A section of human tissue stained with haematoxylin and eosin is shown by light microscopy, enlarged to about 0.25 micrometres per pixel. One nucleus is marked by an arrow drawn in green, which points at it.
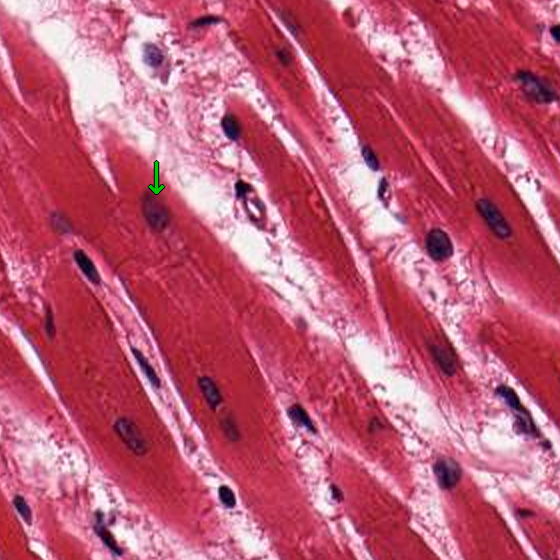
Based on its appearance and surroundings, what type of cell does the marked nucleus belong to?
cardiomyocyte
